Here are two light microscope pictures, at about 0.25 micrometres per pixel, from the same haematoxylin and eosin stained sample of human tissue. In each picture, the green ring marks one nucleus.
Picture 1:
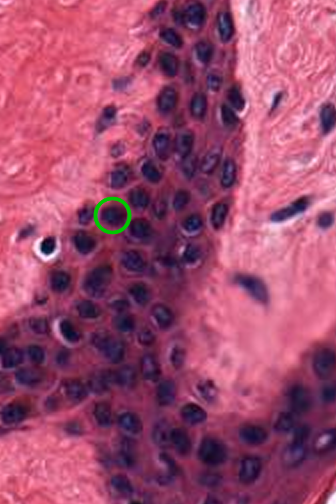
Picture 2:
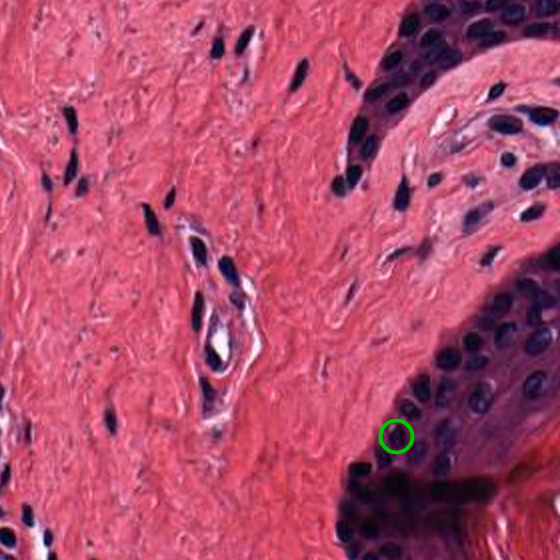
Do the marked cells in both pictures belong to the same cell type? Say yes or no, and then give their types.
Yes, both are keratinocytes.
